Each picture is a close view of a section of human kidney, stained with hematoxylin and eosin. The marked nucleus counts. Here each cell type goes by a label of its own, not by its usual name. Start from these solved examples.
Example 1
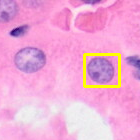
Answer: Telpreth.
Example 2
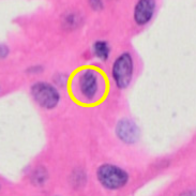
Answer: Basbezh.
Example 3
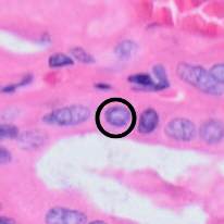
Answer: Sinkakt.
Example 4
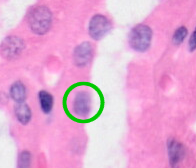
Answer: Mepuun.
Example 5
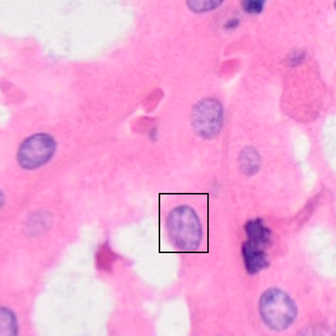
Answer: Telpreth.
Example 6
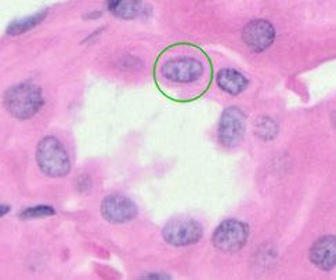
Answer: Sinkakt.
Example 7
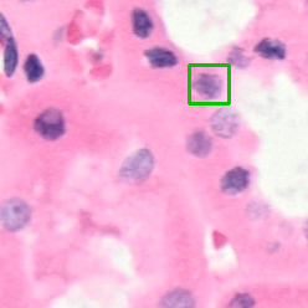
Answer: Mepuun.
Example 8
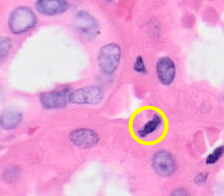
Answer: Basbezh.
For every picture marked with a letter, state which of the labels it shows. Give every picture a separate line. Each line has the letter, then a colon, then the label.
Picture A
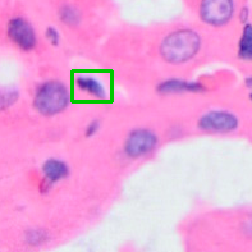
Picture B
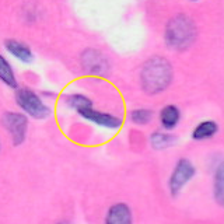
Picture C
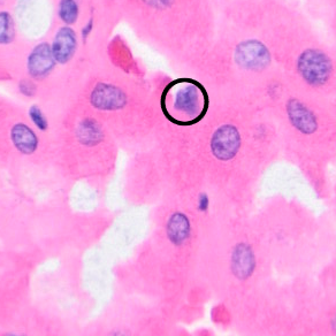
A: Basbezh.
B: Basbezh.
C: Basbezh.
